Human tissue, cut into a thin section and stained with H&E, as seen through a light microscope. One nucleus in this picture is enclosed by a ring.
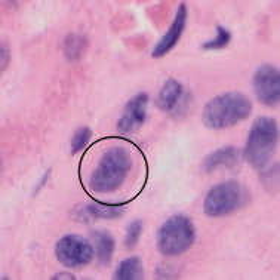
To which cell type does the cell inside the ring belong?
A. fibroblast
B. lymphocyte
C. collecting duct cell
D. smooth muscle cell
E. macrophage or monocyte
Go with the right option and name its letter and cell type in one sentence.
The statement that the cell inside the ring is a collecting duct cell corresponds to option C, the correct one.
